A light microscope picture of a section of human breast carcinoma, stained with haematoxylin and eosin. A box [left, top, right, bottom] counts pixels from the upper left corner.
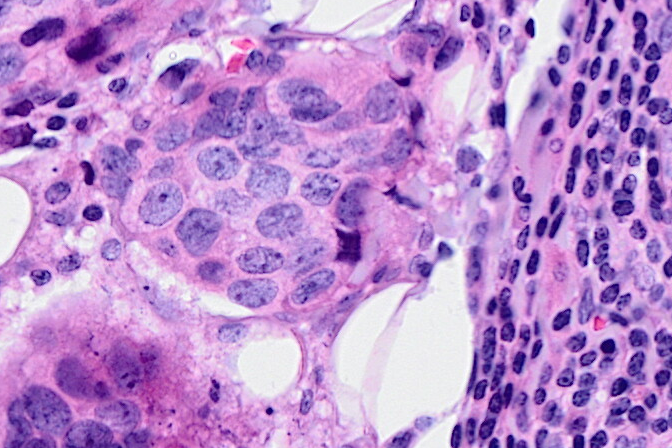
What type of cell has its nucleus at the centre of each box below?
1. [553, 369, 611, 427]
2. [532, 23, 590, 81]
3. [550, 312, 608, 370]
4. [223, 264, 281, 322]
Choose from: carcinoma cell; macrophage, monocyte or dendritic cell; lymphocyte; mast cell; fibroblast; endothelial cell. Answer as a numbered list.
1. lymphocyte
2. lymphocyte
3. lymphocyte
4. carcinoma cell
